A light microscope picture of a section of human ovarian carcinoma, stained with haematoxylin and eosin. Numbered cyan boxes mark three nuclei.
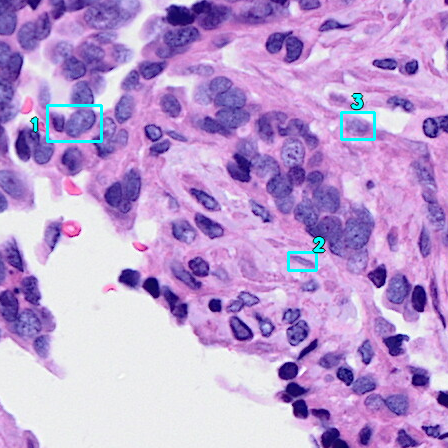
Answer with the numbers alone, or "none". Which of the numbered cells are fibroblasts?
2, 3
